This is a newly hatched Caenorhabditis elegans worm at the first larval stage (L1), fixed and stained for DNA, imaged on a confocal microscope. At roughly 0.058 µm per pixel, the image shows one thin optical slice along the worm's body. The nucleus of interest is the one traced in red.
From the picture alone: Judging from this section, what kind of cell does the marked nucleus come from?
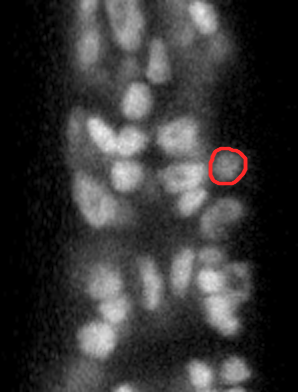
hypodermal cell (hyp)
